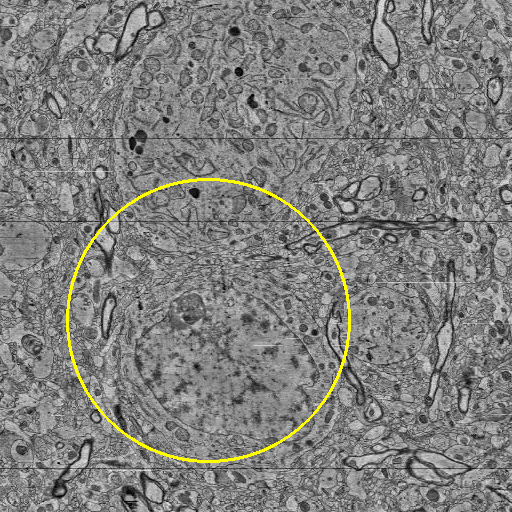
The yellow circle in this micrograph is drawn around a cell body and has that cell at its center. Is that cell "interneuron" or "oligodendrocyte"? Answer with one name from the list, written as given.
interneuron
